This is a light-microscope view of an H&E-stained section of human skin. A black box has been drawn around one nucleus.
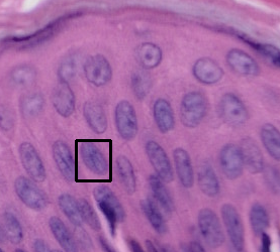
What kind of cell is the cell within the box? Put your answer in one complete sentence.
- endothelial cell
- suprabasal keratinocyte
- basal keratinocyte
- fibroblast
It is as a suprabasal keratinocyte that the cell within the box is classified.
